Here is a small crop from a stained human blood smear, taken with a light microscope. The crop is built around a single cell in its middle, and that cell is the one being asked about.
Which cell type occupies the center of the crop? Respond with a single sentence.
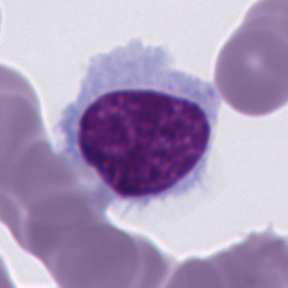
The cell under consideration, at the middle of the crop, is a hairy cell.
